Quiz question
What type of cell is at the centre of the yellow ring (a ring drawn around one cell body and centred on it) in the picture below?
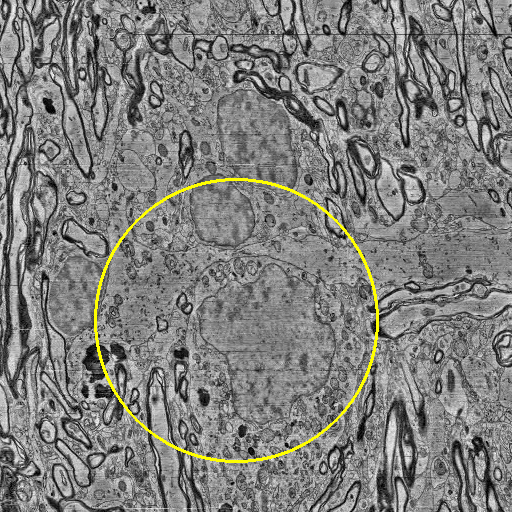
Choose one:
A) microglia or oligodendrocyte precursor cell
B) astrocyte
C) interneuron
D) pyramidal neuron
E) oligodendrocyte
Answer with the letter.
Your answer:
C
